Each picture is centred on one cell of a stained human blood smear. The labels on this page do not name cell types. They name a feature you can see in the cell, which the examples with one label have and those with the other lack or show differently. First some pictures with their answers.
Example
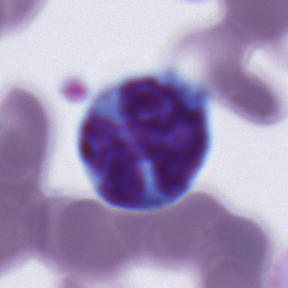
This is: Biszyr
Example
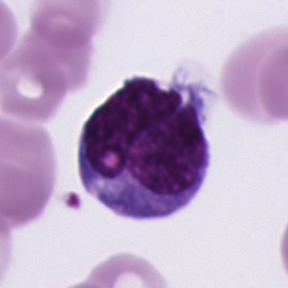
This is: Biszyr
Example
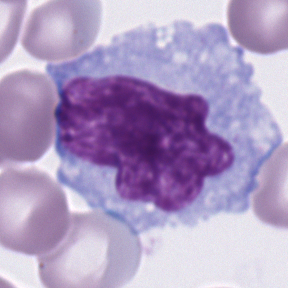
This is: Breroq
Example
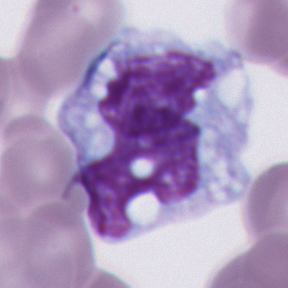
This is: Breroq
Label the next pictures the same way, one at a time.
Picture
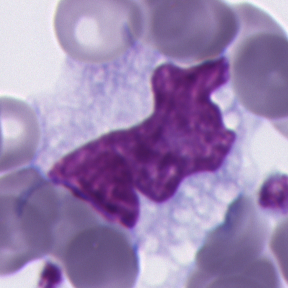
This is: Breroq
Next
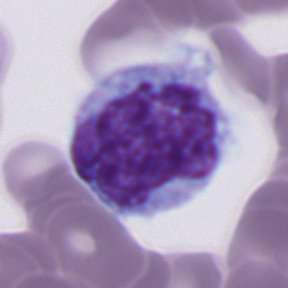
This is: Biszyr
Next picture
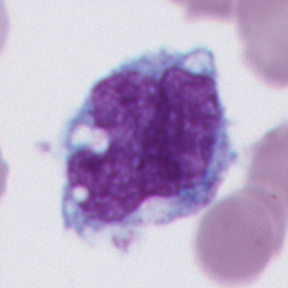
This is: Biszyr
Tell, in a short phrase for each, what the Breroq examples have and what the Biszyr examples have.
In Breroq: abundant cytoplasm. In Biszyr: scant cytoplasm.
